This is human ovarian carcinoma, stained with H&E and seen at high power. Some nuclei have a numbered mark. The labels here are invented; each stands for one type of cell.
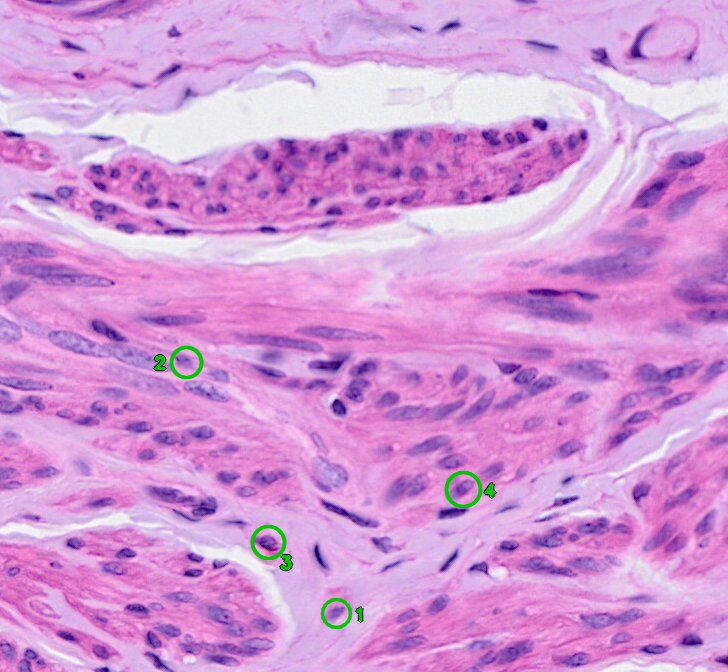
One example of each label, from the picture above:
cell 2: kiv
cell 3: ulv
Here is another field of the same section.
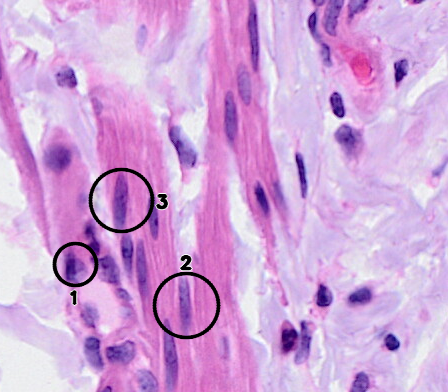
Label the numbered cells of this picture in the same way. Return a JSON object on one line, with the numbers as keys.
{"1": "ulv", "2": "kiv", "3": "kiv"}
